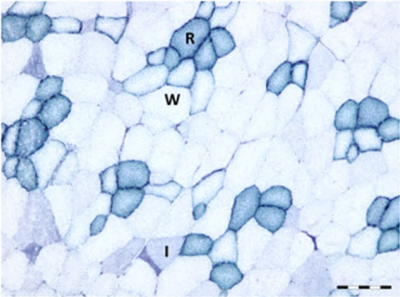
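This is a cross section of skeletal muscle, cut across its fibres, so each fibre appears as a closely packed polygon. The fibres form a mosaic of unequal staining. In the darker fibres the stain is often stronger near the edge of the fibre than in its centre. Fibres sit directly against one another with only thin boundaries between them.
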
